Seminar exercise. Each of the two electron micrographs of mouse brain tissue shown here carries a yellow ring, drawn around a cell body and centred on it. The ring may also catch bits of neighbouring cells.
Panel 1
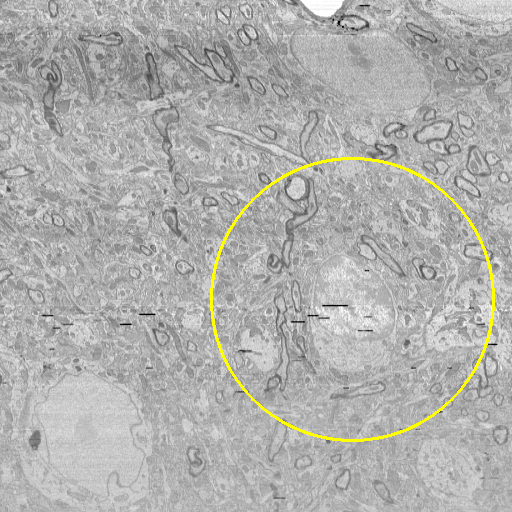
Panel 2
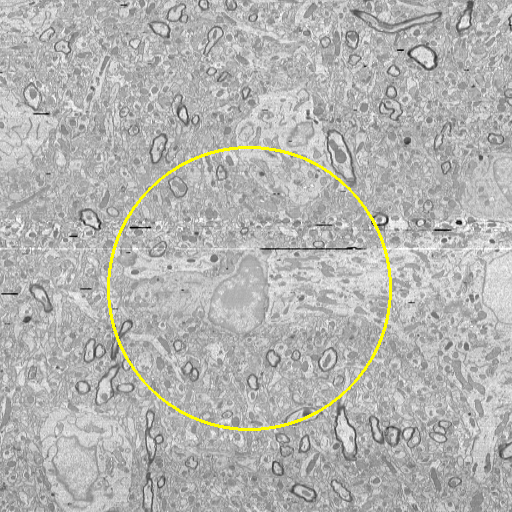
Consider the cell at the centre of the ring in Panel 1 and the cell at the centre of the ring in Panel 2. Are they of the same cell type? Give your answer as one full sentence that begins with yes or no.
Yes, both cells are of the same type.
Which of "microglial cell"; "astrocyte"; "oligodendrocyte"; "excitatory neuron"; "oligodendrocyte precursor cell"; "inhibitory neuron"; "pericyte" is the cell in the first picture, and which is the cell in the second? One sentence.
Each of the two rings is centred on an oligodendrocyte.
